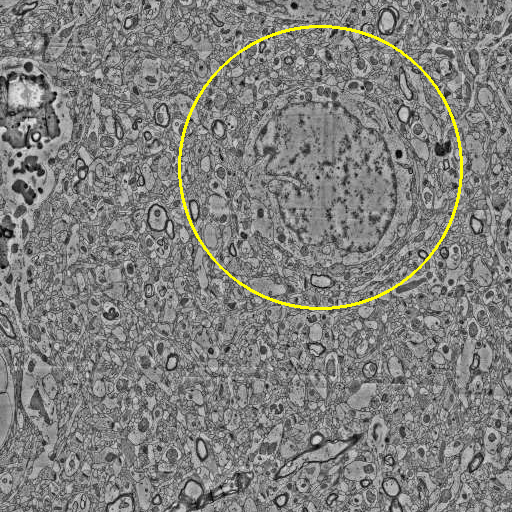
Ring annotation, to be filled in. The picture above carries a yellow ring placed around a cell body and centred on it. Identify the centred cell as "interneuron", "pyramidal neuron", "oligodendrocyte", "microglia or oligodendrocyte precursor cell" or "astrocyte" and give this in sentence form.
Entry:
The cell in the middle of the ring is an interneuron.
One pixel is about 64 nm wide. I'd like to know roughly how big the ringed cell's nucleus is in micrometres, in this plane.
Roughly 11 by 8 micrometres in this plane, for the nucleus of the ringed cell.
